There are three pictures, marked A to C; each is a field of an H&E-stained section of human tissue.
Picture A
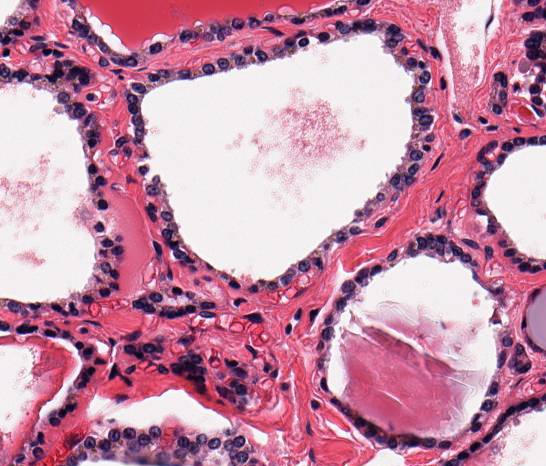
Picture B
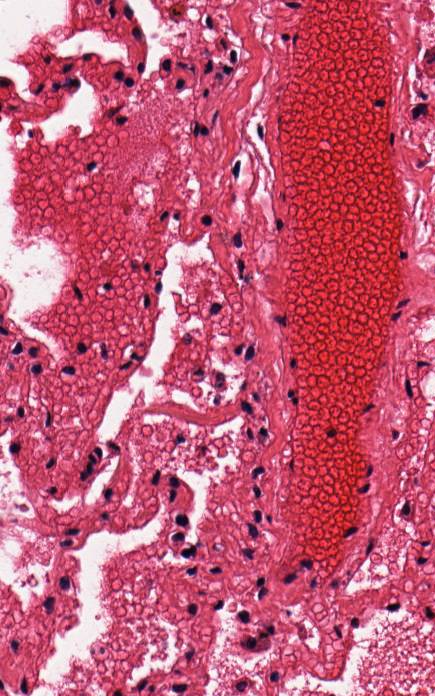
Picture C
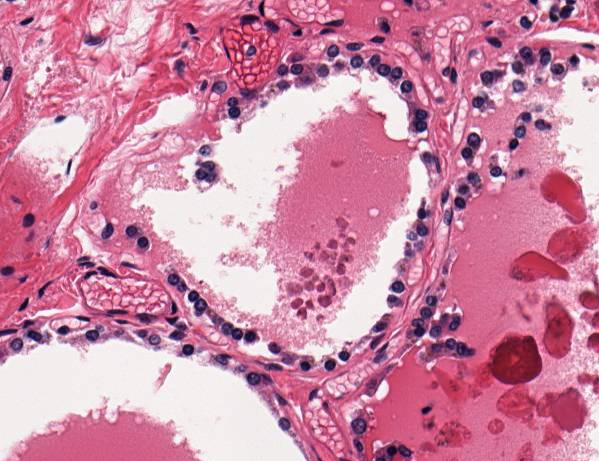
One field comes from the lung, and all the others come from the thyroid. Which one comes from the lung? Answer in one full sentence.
The one that comes from the lung is picture B.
